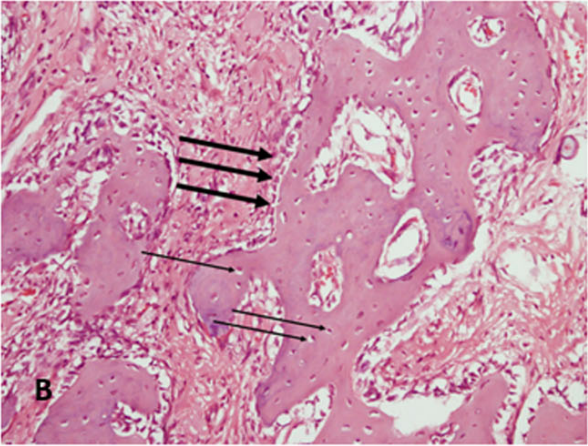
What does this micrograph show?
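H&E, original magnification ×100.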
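Newly formed bone as trabeculae of pink matrix holding numerous osteocytes in small lacunae. Between the trabeculae lies cellular loose connective tissue with small vessels.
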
